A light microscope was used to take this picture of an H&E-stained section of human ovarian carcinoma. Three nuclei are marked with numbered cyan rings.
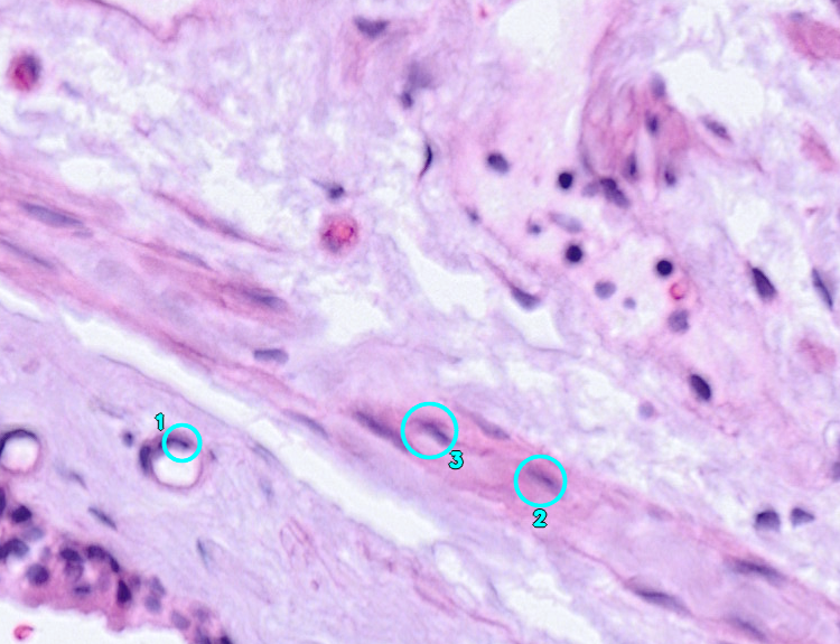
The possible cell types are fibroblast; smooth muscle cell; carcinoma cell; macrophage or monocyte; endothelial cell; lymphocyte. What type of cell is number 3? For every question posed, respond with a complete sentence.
Among the marked cells, number 3 is a smooth muscle cell.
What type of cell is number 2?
The cell identified by the number 2 is a smooth muscle cell.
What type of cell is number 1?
In this section, the cell numbered 1 is an endothelial cell.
